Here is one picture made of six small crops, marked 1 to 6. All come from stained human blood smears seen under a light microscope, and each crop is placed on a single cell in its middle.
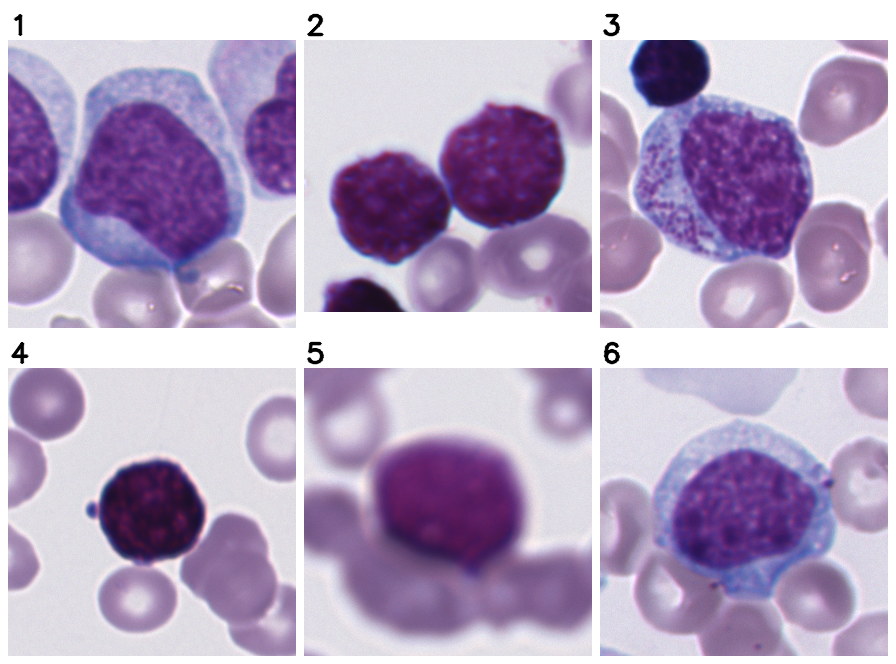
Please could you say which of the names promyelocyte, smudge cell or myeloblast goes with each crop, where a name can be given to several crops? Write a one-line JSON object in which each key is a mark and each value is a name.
{"1": "promyelocyte", "2": "myeloblast", "3": "promyelocyte", "4": "myeloblast", "5": "smudge cell", "6": "promyelocyte"}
